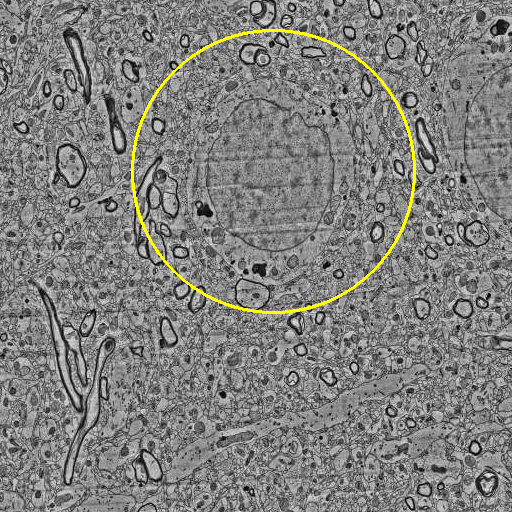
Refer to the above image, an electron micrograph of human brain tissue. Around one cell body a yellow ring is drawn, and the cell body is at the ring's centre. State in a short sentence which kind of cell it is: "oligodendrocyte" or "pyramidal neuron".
The centre of the ring falls on a pyramidal neuron.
